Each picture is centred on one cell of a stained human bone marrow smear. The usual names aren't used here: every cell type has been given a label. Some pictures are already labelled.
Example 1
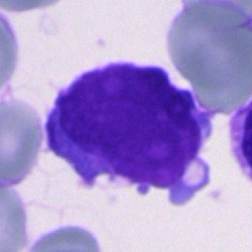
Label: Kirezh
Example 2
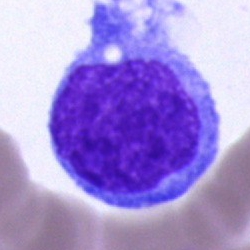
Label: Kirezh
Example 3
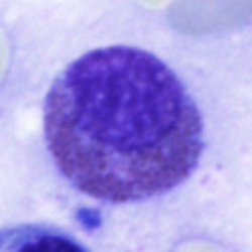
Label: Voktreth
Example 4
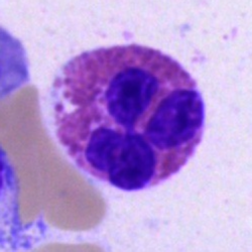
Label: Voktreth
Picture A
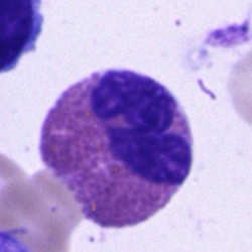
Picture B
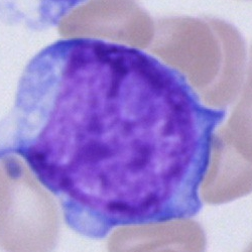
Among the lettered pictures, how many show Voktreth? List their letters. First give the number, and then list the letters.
Count: 1 (A)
